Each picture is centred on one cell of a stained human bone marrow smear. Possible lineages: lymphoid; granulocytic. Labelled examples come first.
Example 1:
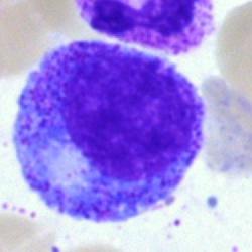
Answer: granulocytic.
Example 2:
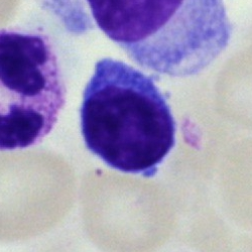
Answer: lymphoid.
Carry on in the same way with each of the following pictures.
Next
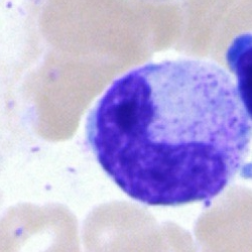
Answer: granulocytic.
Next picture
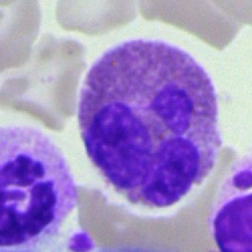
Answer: granulocytic.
